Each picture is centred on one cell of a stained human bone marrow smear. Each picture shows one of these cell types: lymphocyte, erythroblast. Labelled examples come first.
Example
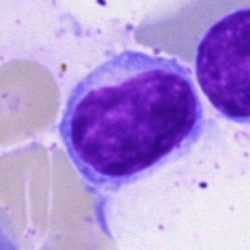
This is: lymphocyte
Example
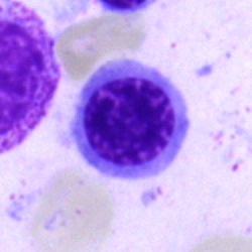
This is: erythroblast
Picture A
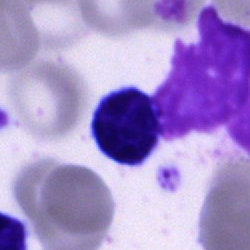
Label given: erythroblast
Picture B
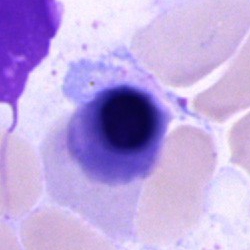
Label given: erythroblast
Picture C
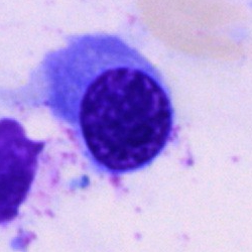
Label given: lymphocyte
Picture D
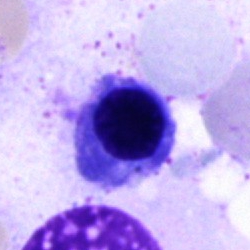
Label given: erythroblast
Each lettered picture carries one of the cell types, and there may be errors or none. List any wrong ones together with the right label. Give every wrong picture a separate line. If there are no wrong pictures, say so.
A: not erythroblast but lymphocyte
C: not lymphocyte but erythroblast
